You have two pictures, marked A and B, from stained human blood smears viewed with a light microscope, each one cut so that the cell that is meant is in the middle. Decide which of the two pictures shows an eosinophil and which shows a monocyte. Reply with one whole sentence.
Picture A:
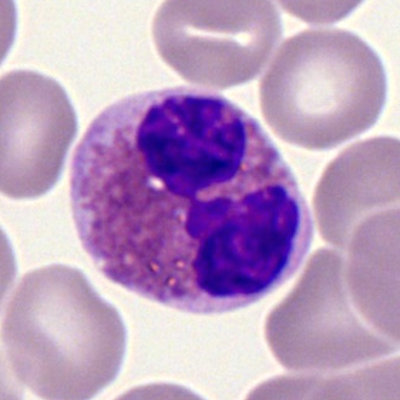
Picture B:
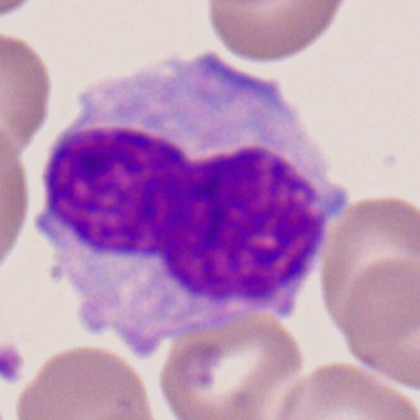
Picture A is of an eosinophil, and picture B is of a monocyte.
